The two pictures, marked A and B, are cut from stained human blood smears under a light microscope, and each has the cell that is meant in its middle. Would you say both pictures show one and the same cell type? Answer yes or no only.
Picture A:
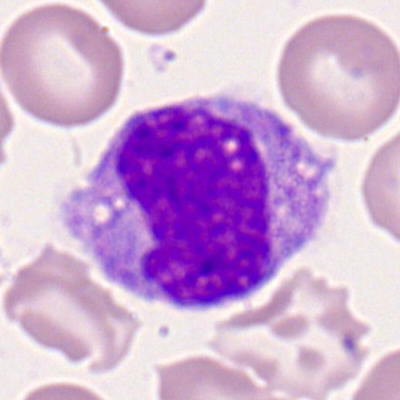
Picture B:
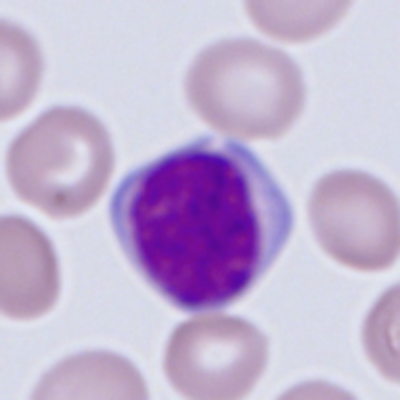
no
